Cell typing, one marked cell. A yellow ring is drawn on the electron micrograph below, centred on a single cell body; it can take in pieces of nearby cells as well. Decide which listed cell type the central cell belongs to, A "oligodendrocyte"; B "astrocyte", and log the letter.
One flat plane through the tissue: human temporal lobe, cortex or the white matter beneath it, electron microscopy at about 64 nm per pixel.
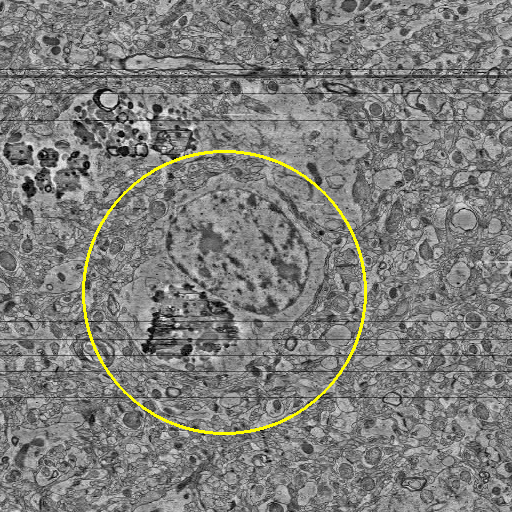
B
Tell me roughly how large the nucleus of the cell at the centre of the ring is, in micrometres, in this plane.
The nucleus comes to roughly 9 by 7 micrometres in this plane.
